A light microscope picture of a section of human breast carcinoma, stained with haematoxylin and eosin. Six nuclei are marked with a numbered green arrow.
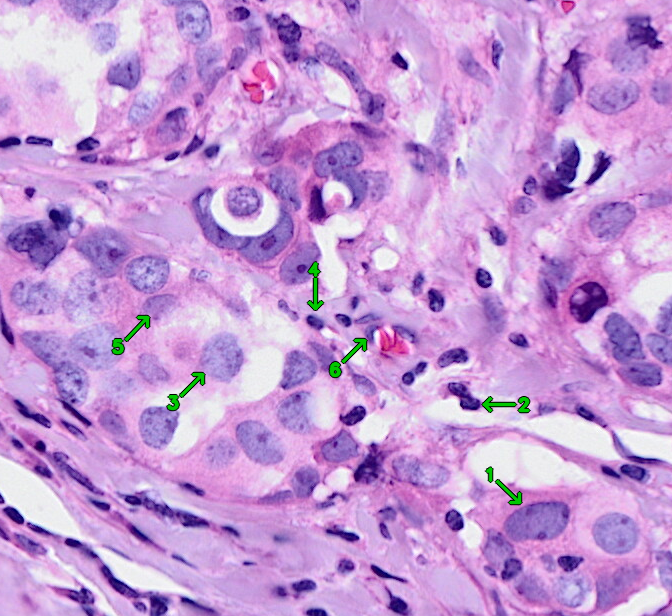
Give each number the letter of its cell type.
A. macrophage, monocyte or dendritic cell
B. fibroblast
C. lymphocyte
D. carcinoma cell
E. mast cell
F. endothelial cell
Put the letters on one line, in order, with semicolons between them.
D; C; D; C; D; F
